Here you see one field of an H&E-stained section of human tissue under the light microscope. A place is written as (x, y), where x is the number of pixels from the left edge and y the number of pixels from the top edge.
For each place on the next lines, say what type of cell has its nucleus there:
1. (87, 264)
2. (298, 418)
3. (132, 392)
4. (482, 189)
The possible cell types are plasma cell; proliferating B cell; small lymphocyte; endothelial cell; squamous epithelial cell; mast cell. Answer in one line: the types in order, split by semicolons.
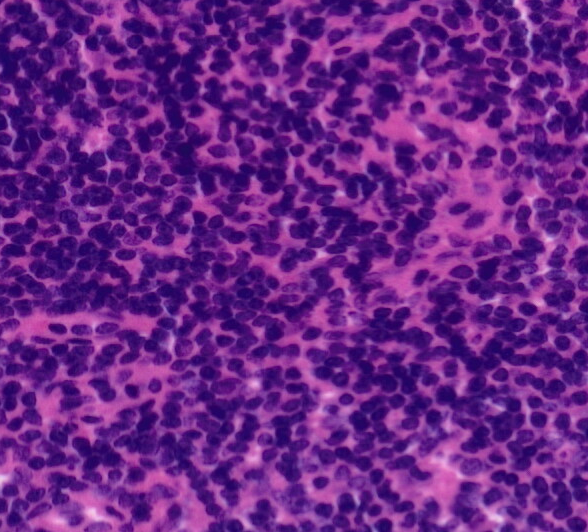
small lymphocyte; small lymphocyte; endothelial cell; endothelial cell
